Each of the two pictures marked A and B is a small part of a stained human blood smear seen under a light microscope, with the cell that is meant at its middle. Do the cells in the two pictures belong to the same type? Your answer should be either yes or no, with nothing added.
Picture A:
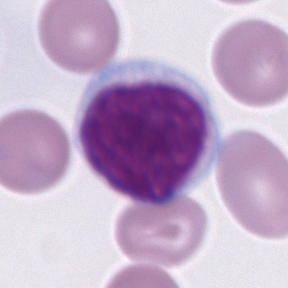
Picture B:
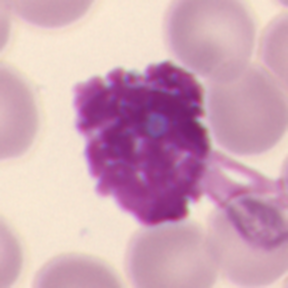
no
